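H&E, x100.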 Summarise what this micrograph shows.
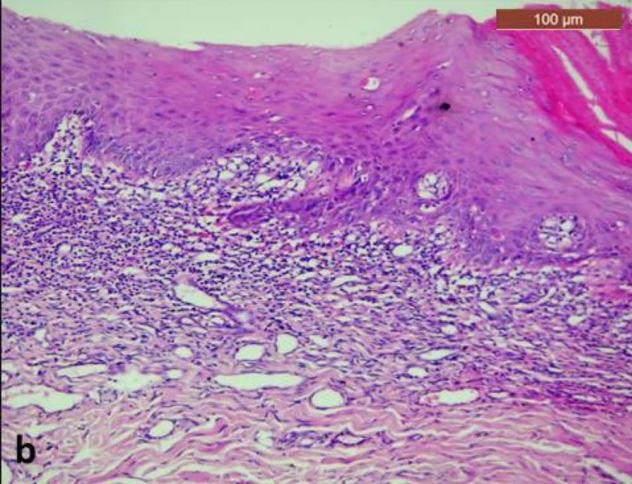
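Directly beneath the epithelium lies a dense band of small, dark, round lymphocyte nuclei pressed against the epithelial base. Deeper down the connective tissue becomes looser, pale pink and fibrous, with many empty-looking vessels.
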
